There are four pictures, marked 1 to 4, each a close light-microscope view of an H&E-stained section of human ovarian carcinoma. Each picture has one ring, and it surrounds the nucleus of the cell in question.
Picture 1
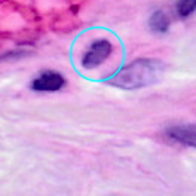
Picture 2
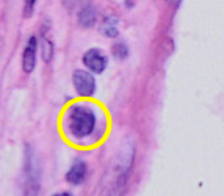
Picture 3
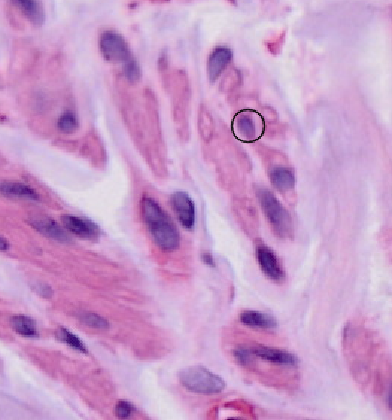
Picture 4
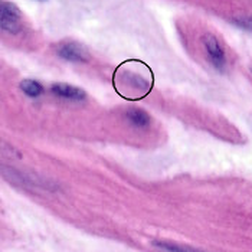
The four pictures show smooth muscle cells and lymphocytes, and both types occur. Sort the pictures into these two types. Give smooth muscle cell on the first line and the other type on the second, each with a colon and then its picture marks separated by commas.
smooth muscle cell: 3, 4
lymphocyte: 1, 2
